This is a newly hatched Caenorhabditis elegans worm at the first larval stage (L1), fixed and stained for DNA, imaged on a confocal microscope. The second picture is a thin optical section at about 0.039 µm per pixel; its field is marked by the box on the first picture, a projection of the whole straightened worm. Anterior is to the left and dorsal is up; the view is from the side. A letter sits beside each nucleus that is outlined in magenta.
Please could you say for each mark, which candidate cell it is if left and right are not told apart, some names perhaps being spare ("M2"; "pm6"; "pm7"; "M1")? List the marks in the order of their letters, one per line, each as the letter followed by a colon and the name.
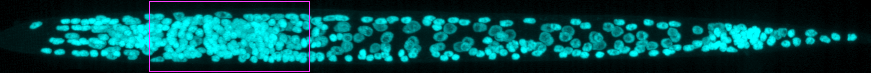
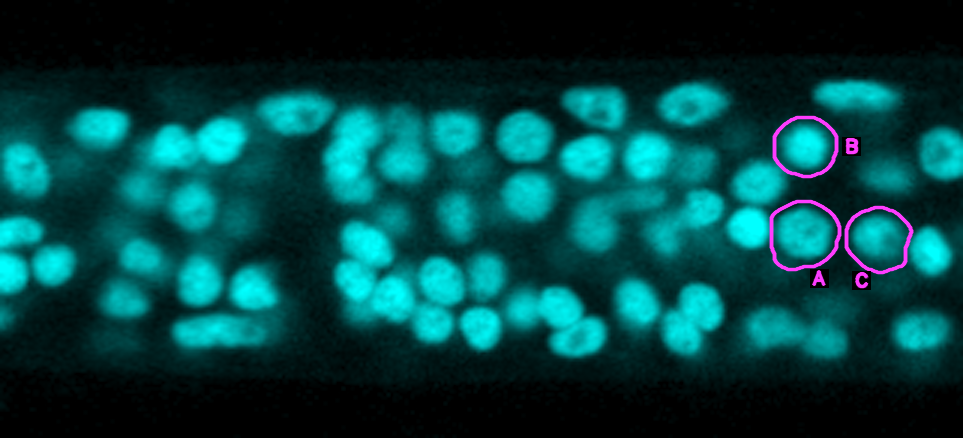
A: pm6
B: M1
C: pm7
